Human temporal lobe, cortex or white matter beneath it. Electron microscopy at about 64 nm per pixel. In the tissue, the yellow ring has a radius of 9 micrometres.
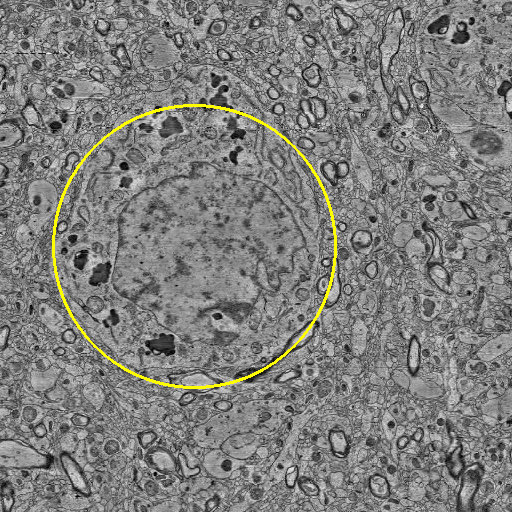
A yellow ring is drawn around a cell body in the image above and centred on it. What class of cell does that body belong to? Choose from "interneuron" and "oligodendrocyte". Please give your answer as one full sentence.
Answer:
The yellow ring above is centred on the cell body of an interneuron.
